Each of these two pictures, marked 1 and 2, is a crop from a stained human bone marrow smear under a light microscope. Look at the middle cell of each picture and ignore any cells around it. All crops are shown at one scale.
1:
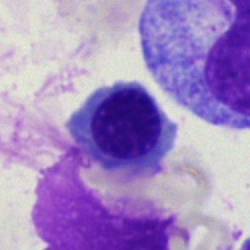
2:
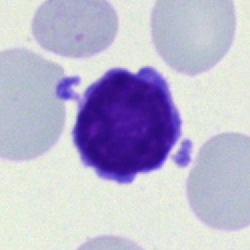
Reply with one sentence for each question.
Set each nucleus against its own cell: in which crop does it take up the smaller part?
It is the cell in crop 1 that is filled less by its nucleus.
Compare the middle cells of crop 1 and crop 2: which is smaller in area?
The cell in crop 1 is smaller; the one in crop 2 has about 1.5 times its area.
